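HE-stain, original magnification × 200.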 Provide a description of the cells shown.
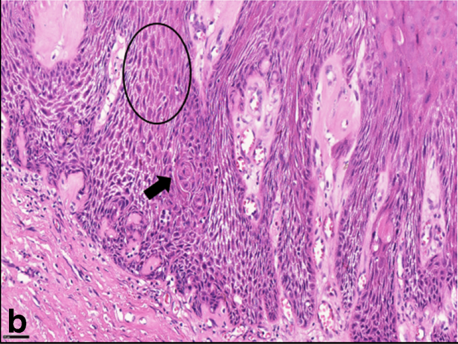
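This is thickened squamous epithelium with long, narrow rete ridges reaching down into pink fibrous stroma. Between the ridges run slender stromal papillae carrying small vessels. In the deeper part of the epithelium there is a small whorl of concentrically arranged squamous cells, a squamous eddy. Elsewhere, groups of cells with ample pink cytoplasm and sharp borders lie tightly packed, giving a cobblestone look. The basal cells along the ridges are darker and more crowded than the cells above them.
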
